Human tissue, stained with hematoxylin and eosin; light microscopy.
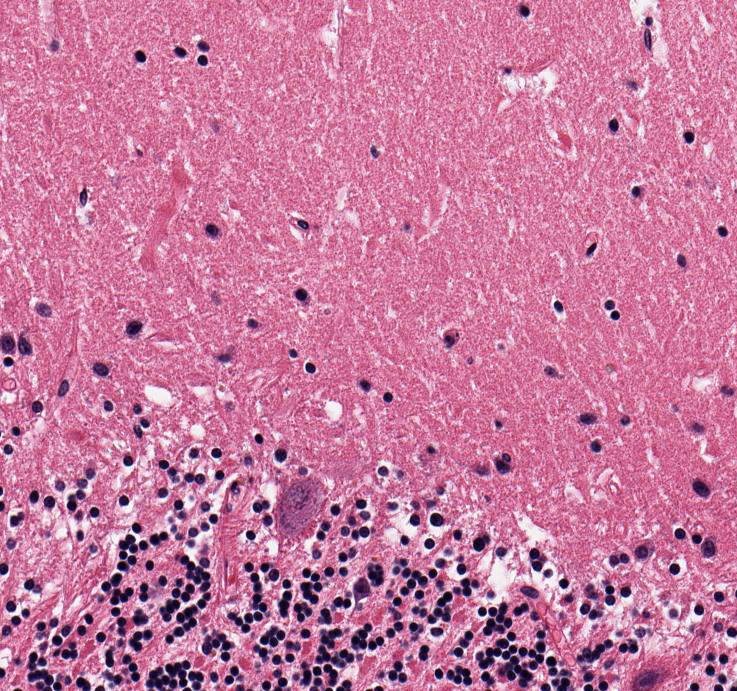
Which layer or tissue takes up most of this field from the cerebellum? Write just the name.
molecular layer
